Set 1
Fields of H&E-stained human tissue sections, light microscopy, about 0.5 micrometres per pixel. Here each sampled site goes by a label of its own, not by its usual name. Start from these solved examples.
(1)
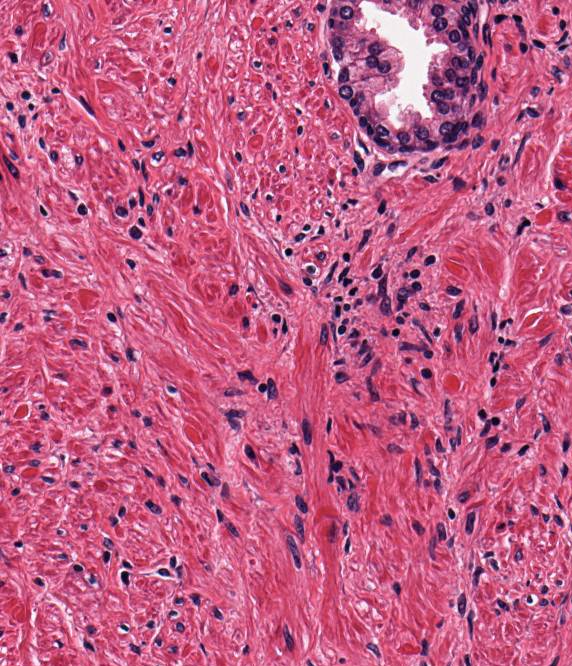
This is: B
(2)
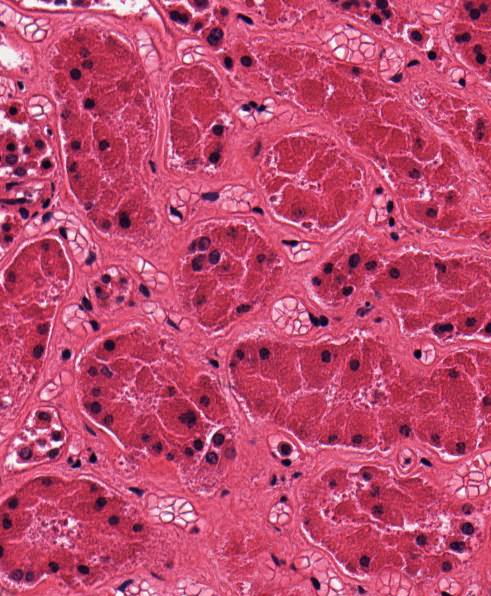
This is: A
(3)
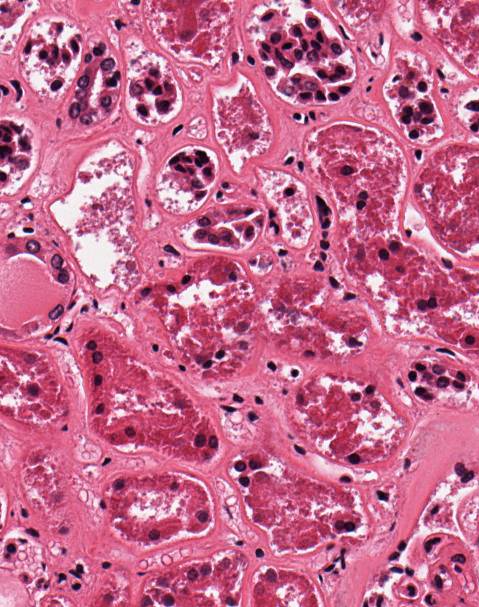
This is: A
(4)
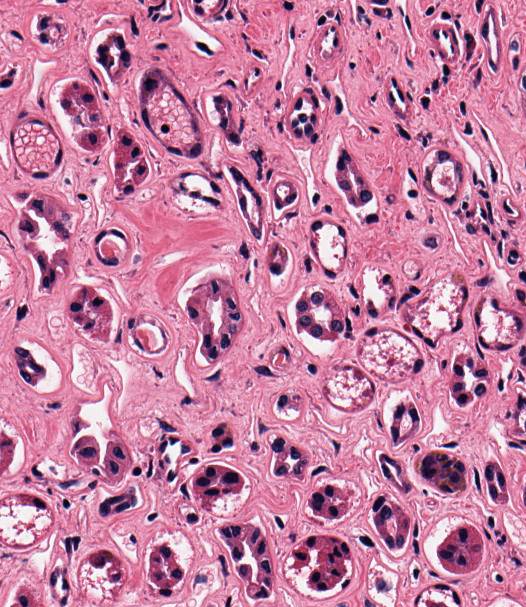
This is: A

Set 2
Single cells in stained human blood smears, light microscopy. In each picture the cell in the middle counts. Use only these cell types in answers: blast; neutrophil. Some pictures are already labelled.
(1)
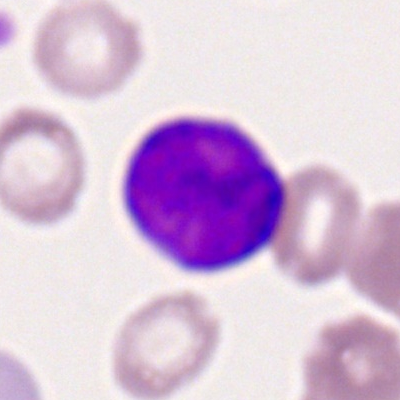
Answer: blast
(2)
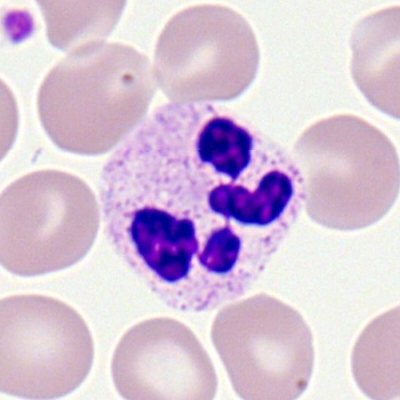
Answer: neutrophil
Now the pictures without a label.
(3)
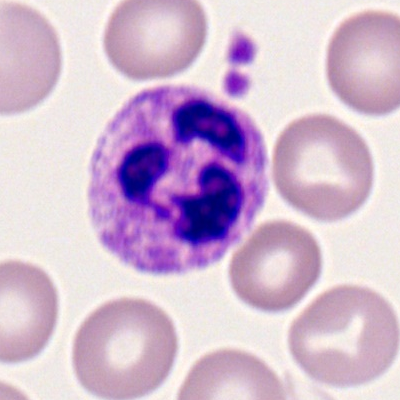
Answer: neutrophil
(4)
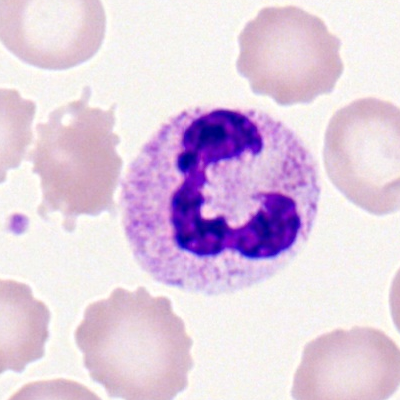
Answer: neutrophil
